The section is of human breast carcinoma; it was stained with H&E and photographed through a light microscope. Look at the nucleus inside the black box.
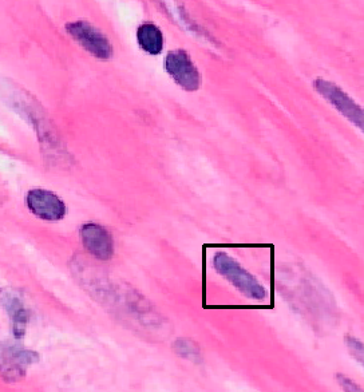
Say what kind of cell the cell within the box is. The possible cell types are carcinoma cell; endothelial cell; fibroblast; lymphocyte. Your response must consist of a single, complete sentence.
With respect to cell type, the cell within the box is a lymphocyte.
